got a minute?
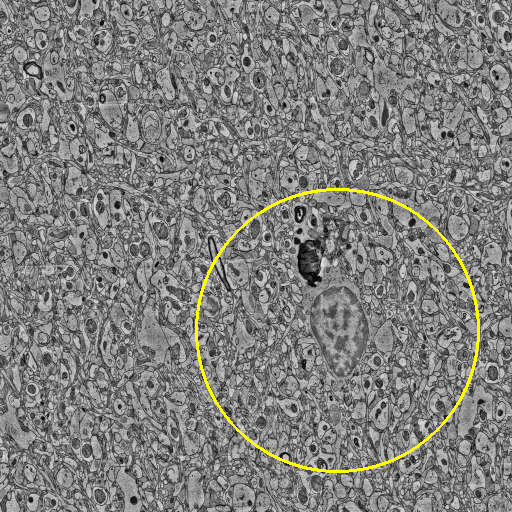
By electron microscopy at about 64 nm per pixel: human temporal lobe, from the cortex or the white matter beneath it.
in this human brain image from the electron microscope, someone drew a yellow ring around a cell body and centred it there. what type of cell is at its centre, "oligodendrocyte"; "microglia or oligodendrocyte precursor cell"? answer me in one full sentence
It's an oligodendrocyte at the middle of that yellow ring in the shot.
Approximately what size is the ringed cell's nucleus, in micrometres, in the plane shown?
In this plane, approximately 6 by 4 micrometers, and clearly longer than it is wide.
